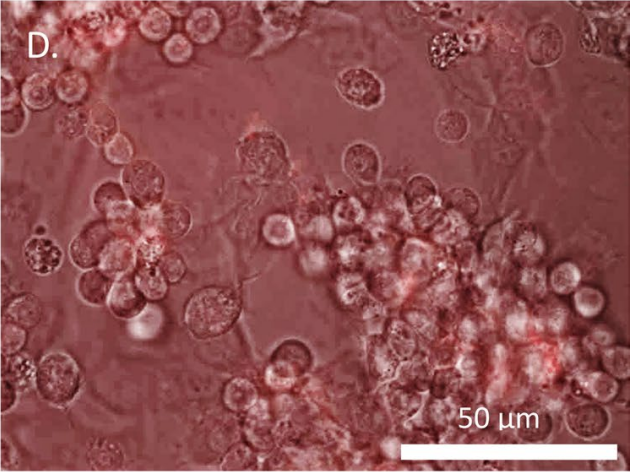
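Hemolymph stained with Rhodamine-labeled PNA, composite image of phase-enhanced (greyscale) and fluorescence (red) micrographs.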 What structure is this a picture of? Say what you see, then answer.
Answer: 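Round cells are gathered into dense clusters. Clusters are separated by cell-free spaces with thin strands.
Hemocyte aggregates.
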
